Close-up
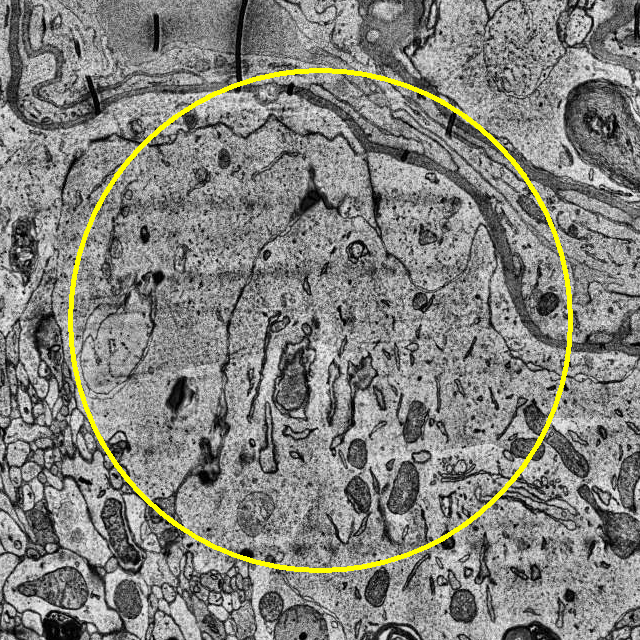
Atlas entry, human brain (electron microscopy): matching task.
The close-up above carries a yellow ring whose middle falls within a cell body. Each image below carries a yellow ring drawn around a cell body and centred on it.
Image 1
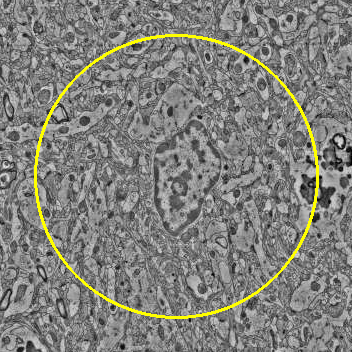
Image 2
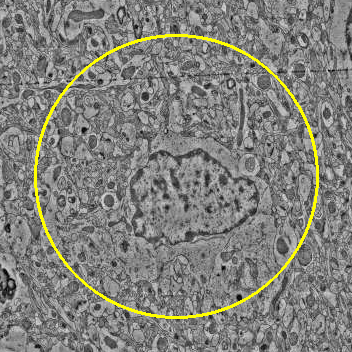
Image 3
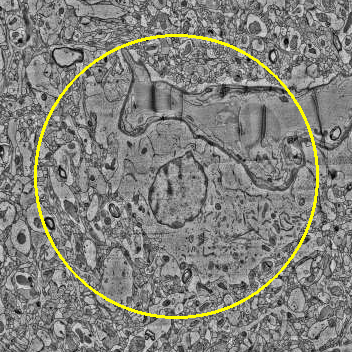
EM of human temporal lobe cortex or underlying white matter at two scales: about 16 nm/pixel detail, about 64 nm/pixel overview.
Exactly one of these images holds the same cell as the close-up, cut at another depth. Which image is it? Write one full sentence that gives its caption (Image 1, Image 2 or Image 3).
The cell of the close-up is the one in Image 3.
